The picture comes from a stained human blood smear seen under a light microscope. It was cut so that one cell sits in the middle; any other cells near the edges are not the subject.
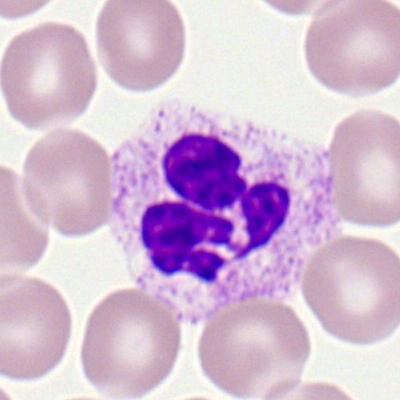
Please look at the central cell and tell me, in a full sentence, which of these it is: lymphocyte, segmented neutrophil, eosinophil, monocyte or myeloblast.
Framed in the middle of the crop is a segmented neutrophil.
